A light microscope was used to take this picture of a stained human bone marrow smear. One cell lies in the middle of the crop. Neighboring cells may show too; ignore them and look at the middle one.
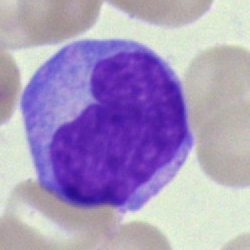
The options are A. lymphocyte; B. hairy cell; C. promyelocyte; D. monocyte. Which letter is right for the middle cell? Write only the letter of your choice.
D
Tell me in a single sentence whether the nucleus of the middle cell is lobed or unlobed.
A single compact nucleus is present, shaped round, oval or like a kidney.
